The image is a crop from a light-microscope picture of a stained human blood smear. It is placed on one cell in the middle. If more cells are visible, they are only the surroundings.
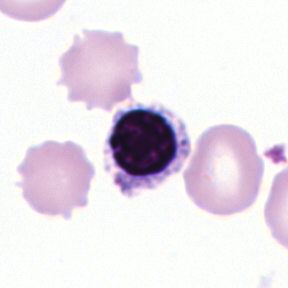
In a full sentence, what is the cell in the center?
Standing at the centre of this crop is an erythroblast.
